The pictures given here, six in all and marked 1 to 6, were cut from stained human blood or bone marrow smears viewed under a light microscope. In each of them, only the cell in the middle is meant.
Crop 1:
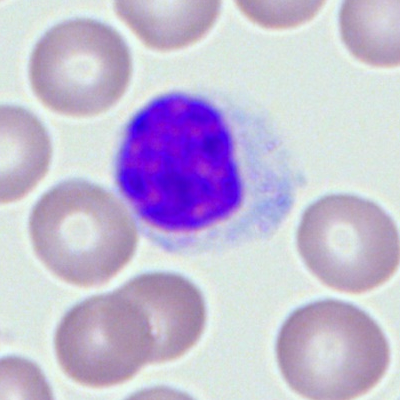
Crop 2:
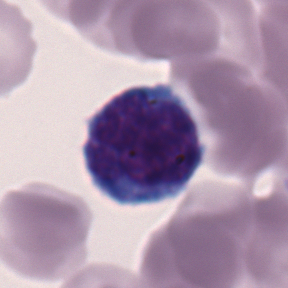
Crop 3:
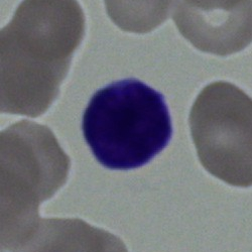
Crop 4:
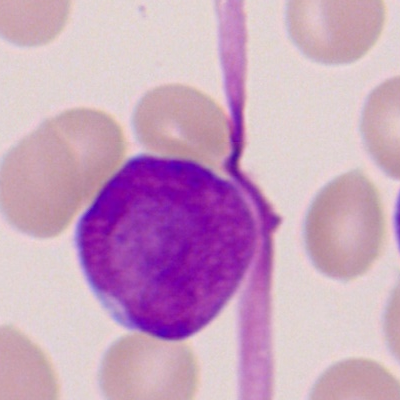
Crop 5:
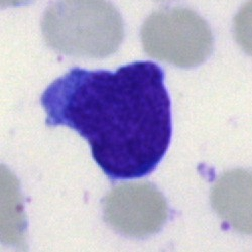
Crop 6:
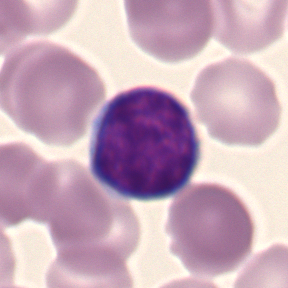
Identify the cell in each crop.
1: lymphocyte
2: lymphocyte
3: lymphocyte
4: blast
5: blast
6: lymphocyte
